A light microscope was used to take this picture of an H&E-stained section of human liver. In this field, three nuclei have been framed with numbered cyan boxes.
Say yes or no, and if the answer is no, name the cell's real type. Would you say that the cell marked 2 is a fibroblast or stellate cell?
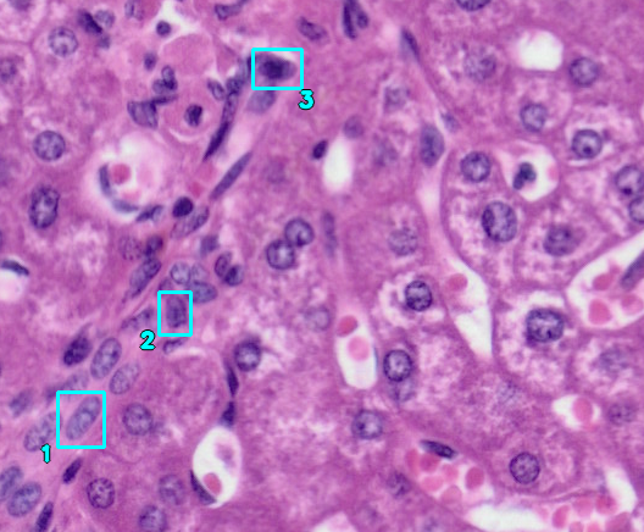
No, it is a cholangiocyte.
